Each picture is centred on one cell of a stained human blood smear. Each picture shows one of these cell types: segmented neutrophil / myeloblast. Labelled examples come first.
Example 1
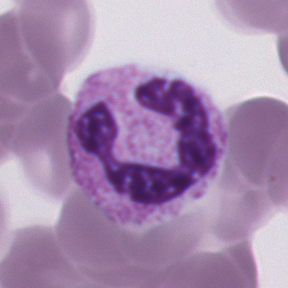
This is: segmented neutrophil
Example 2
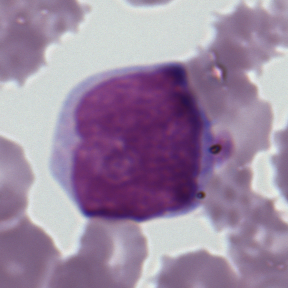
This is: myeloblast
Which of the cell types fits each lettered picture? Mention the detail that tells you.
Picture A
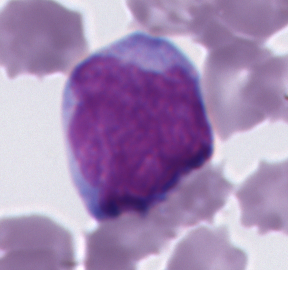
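Answer: myeloblast. The cytoplasm forms a narrow rim that is widest at the top and left of the nucleus.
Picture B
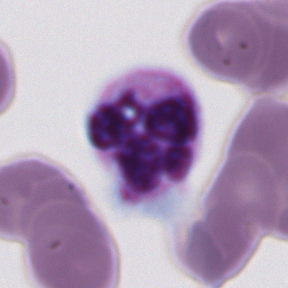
Answer: segmented neutrophil. The cytoplasm is pale pink and is widest above the nucleus.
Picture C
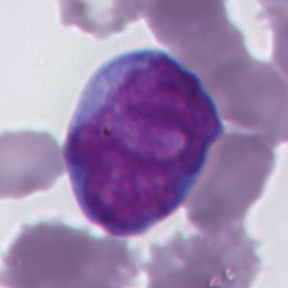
Answer: myeloblast. The thin rim of cytoplasm is blue.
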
